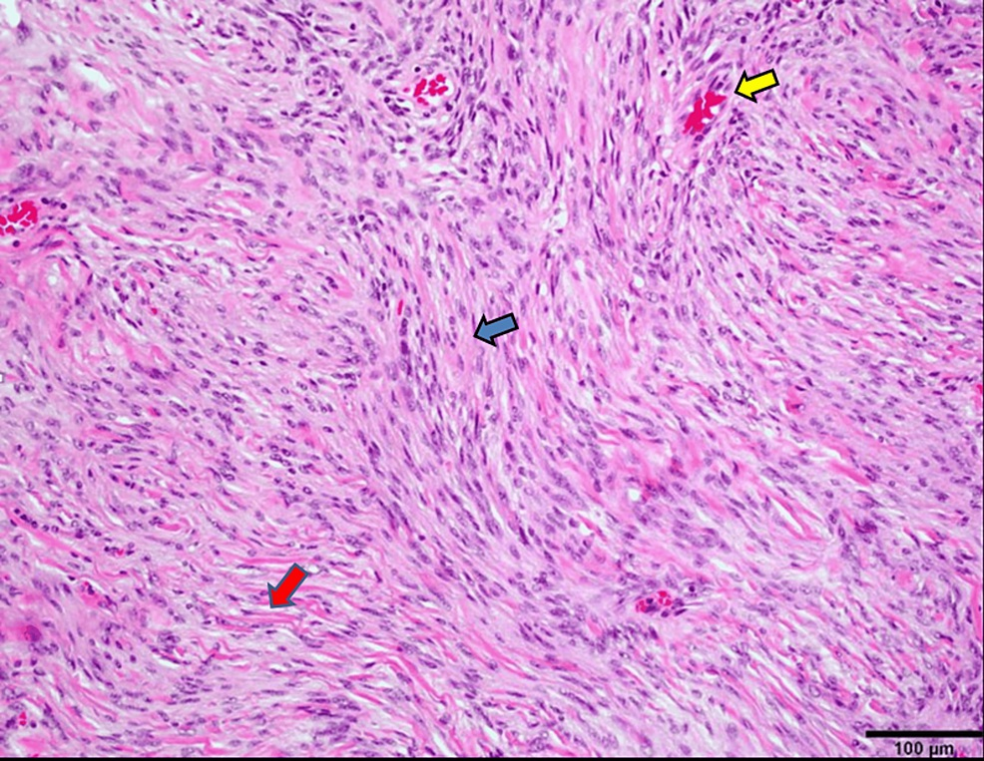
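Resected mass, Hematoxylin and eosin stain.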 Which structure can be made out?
Fascicles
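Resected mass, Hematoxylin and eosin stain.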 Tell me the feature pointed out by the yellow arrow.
Blood vessels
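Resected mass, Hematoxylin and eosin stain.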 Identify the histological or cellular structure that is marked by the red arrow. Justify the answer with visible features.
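Pink acellular wavy fibres lie between the cells. The fibres run parallel to the cell bundles. That points to this answer: collagen.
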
